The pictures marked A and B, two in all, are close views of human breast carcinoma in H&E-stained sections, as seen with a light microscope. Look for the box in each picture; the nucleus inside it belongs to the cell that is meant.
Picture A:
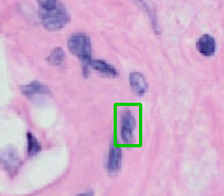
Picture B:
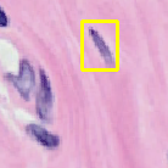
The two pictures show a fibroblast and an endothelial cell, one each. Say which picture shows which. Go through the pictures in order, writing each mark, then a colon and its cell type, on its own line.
A: endothelial cell
B: fibroblast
